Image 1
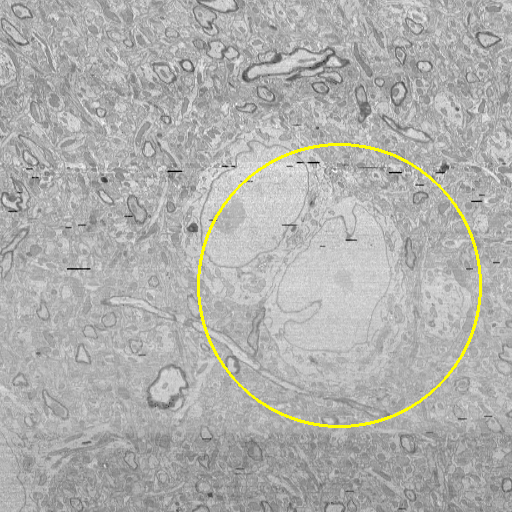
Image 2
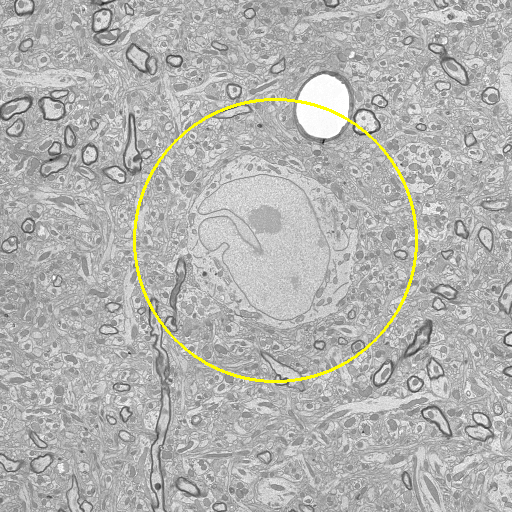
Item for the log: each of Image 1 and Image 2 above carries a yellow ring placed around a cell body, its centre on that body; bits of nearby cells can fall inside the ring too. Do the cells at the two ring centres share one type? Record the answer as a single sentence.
Yes, the two cells at the ring centres in Image 1 and Image 2 share one type.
